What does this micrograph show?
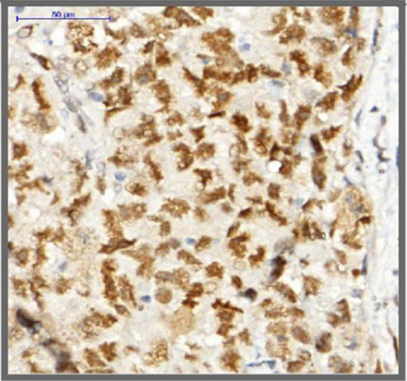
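The tumor cells have large, irregular, crowded nuclei that stain intensely brown, while their pale cytoplasm shows only faint brown tint. Nuclei vary in size and shape and lie close together with little intervening stroma. A few small blue-stained nuclei of non-tumor cells are seen at the edges.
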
